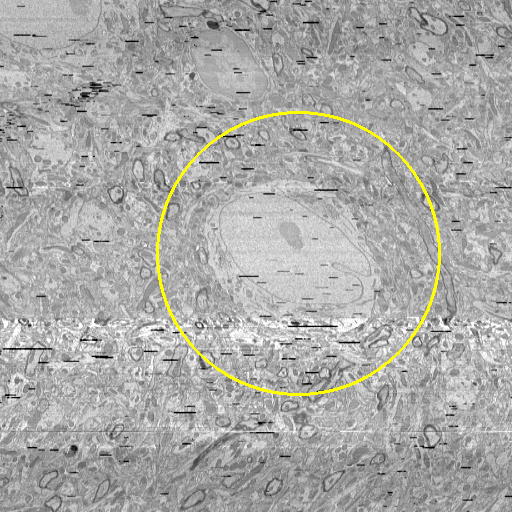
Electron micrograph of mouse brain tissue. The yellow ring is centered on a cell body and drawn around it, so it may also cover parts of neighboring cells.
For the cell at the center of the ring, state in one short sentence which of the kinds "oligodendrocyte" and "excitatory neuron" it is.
This ring is centered on an excitatory neuron.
